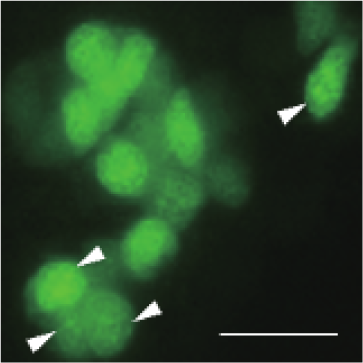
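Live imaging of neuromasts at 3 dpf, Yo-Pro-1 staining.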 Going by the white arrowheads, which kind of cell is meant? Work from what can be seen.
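Peripheral hair cells. The marked cells lie outside the central group of labelled cells.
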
